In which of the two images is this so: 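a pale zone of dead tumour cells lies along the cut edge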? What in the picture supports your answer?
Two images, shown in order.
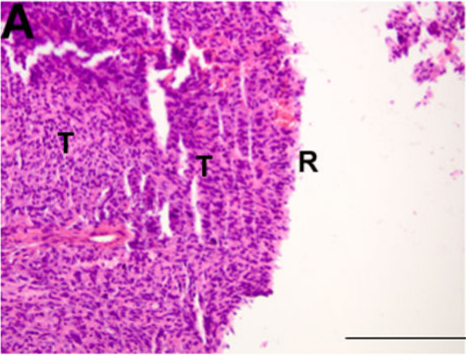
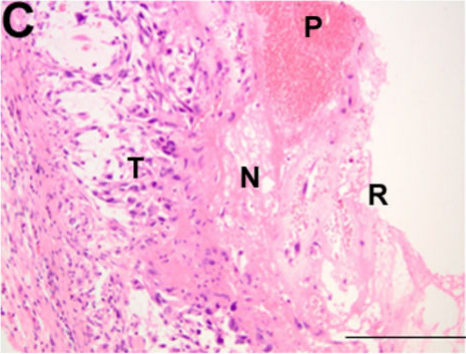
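The second image. Second image: a broad pale pink band with few nuclei lies between the cellular tumour and the edge. First image: densely packed dark purple nuclei of the tumour reach right up to the edge.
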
